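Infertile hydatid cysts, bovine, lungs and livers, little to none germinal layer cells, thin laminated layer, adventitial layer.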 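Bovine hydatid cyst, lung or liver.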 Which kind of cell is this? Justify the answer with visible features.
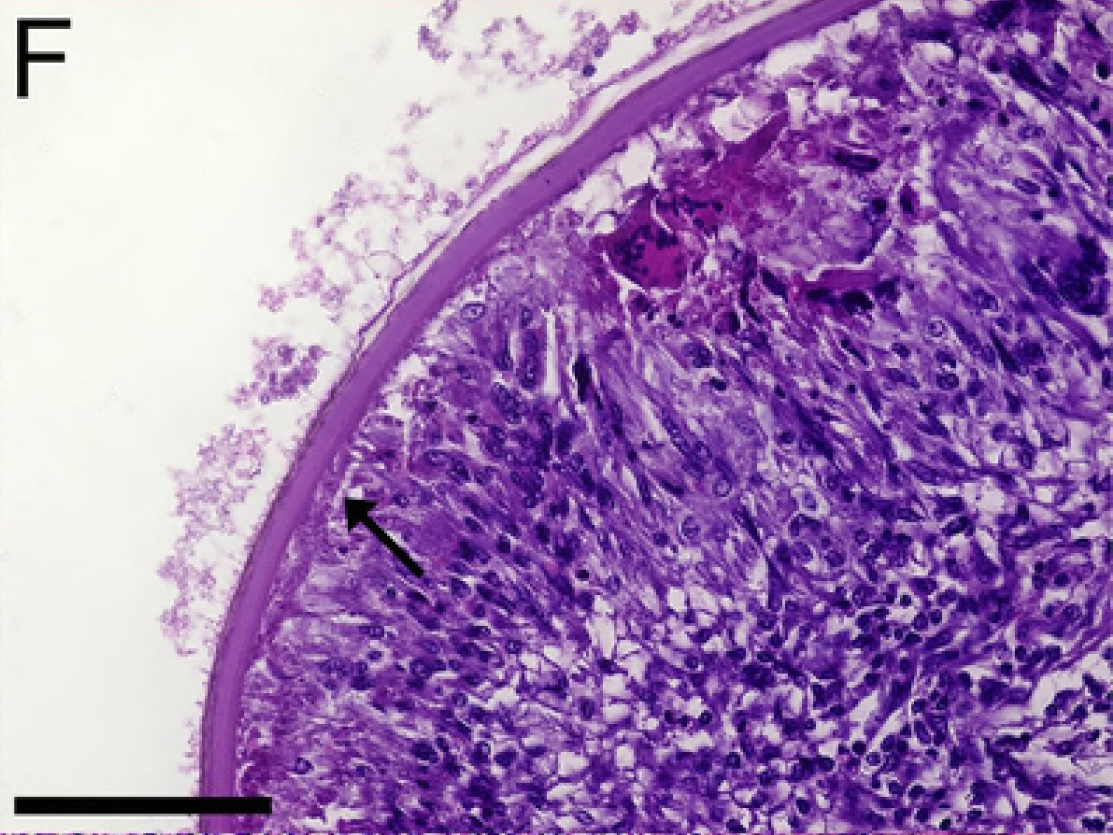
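The cells form a radial row along the curved membrane. That points to this answer: palisading foamy macrophages.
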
